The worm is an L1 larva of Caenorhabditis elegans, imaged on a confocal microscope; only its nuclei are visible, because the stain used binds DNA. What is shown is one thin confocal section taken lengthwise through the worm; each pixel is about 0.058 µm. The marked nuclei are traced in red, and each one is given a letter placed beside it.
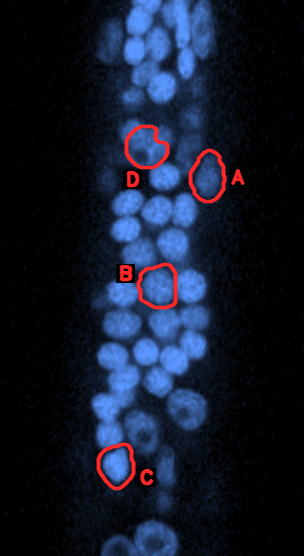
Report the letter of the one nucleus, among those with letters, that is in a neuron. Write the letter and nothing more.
B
